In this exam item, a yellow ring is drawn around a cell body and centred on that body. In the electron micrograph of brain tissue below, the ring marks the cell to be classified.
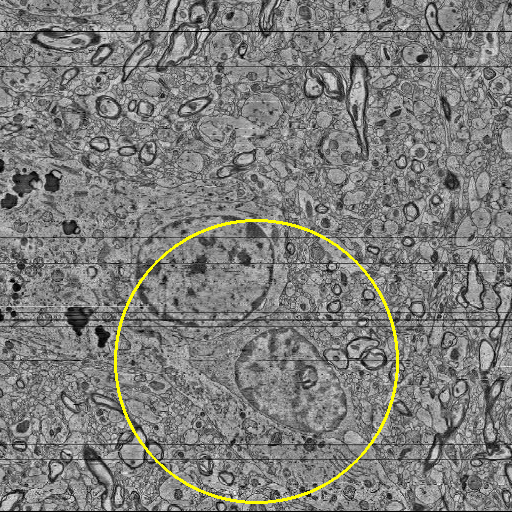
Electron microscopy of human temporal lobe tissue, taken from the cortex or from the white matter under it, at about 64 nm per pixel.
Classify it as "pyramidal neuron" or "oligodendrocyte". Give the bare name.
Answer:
oligodendrocyte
